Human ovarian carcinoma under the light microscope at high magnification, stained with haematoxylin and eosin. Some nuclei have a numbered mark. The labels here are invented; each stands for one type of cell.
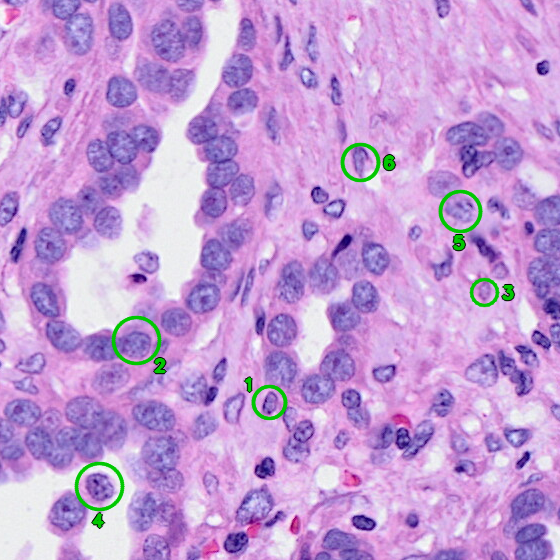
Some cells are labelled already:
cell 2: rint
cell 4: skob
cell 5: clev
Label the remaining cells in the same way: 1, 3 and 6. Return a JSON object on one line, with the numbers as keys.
{"1": "skob", "3": "clev", "6": "clev"}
